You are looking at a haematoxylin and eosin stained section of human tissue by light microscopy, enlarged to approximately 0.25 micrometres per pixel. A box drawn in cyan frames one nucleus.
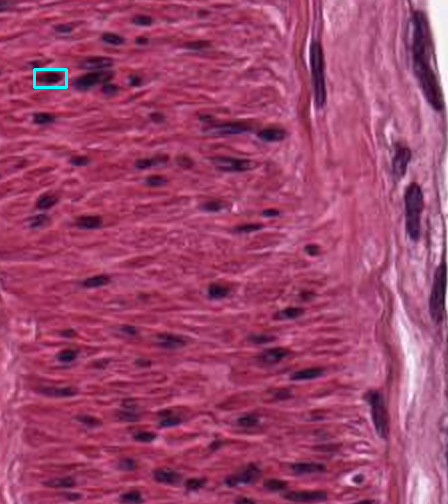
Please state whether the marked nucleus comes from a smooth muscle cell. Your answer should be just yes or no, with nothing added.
yes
